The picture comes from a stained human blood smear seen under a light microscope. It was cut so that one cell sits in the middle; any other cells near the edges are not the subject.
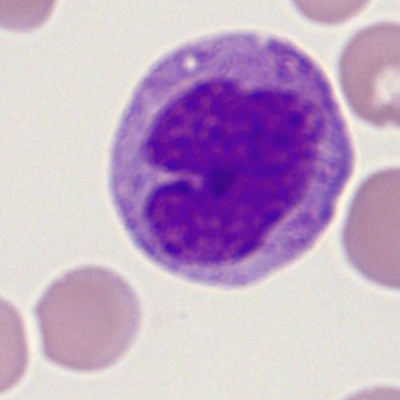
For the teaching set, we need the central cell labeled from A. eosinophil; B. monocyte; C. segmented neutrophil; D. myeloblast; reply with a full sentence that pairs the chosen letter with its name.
Answer key: option B, the middle cell being a monocyte.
